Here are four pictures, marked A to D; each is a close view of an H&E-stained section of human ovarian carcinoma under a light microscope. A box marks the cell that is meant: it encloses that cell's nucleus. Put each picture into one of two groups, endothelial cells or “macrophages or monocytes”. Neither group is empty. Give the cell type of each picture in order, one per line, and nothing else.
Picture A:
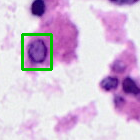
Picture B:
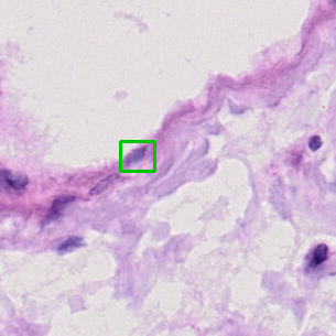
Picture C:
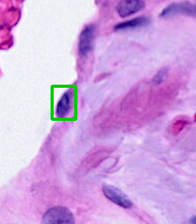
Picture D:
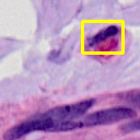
macrophage or monocyte
endothelial cell
endothelial cell
endothelial cell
